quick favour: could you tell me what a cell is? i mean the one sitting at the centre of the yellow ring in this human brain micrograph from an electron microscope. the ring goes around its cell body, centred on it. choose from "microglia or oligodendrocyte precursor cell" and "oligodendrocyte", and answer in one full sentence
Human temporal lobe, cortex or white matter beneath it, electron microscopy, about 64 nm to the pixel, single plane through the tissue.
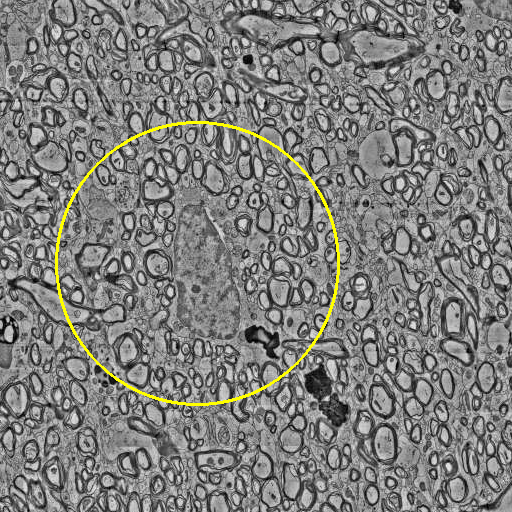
That's an oligodendrocyte, the cell sitting at the centre of the yellow ring.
